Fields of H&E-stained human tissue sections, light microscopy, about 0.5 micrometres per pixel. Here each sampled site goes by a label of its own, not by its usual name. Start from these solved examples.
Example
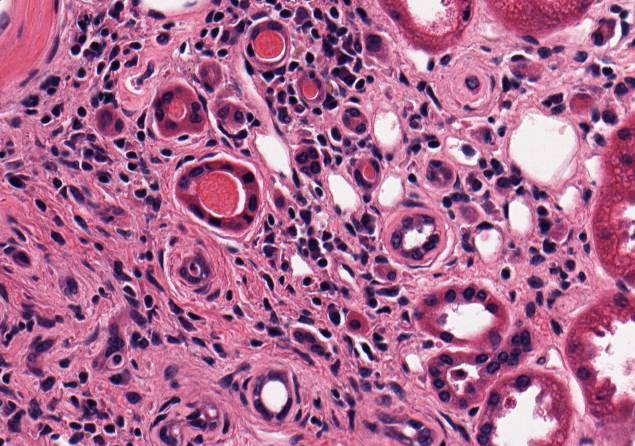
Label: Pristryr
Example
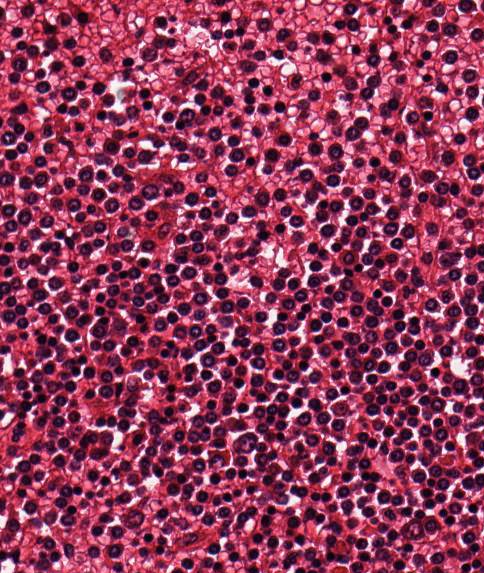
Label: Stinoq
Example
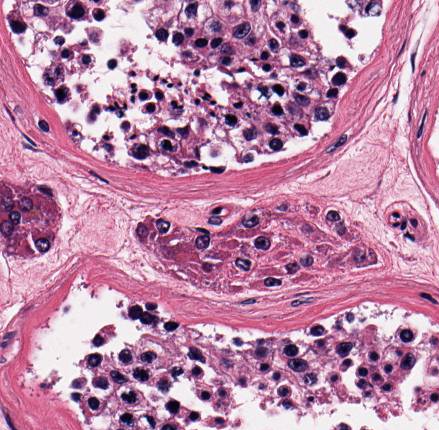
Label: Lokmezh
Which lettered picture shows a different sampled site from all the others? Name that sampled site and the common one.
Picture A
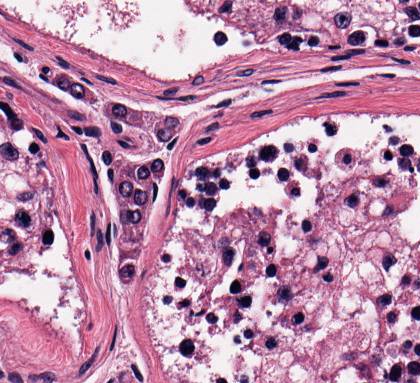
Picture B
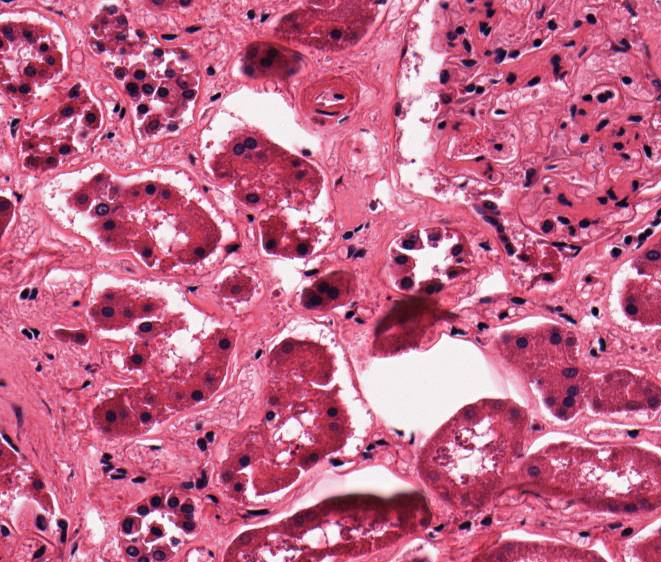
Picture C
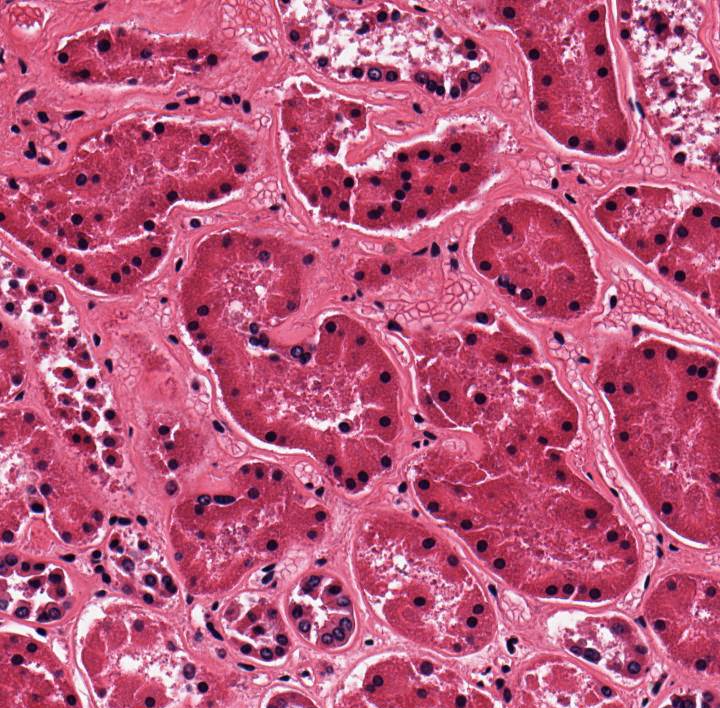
A (Lokmezh) is the exception; every other picture is Pristryr.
